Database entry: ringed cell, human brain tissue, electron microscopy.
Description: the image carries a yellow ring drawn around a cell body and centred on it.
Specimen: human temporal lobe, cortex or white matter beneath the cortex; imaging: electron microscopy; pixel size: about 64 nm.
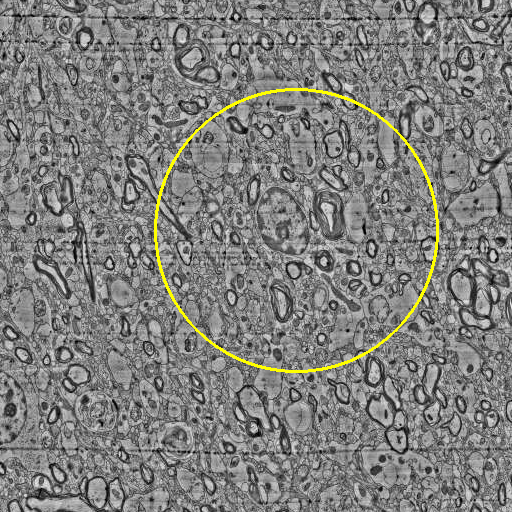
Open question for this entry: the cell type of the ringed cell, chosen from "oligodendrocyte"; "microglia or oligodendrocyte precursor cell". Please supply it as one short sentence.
The ringed cell is a microglial cell or oligodendrocyte precursor cell.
